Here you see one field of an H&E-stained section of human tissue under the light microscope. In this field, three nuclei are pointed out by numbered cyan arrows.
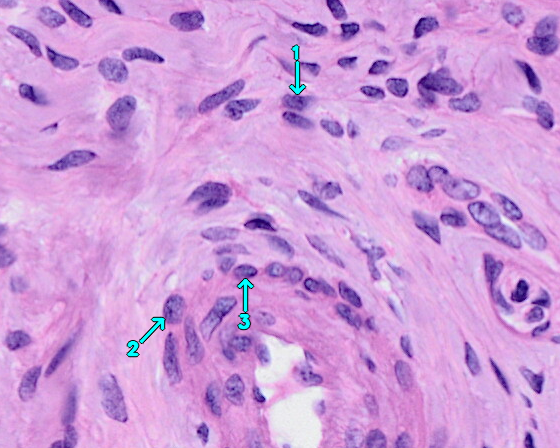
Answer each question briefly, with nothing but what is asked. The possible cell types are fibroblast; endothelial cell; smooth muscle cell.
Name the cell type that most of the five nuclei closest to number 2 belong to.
smooth muscle cell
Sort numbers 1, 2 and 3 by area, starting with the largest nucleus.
2, 1, 3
